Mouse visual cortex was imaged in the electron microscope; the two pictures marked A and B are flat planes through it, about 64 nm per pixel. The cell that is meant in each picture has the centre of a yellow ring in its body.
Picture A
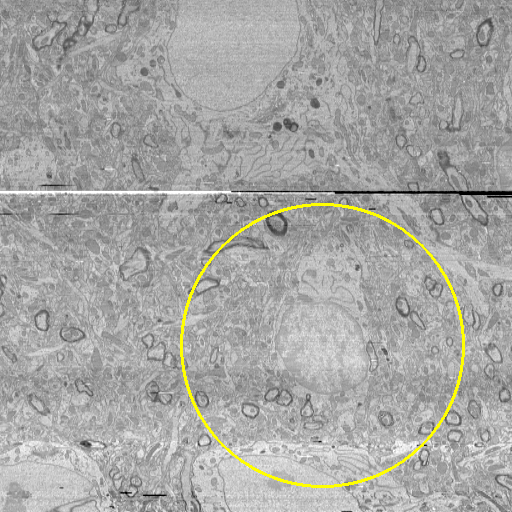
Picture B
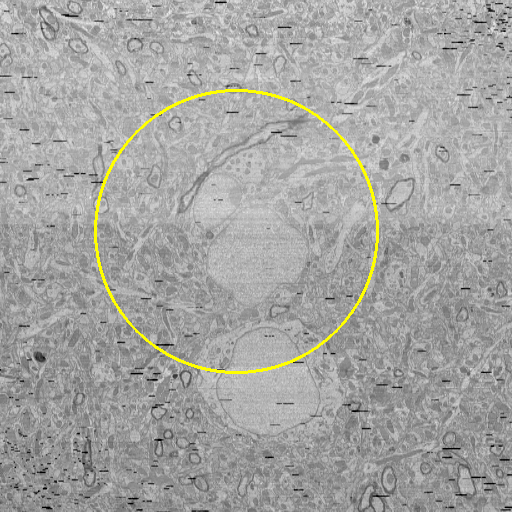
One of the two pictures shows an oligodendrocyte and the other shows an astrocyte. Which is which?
Picture A is of an oligodendrocyte, and picture B is of an astrocyte.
